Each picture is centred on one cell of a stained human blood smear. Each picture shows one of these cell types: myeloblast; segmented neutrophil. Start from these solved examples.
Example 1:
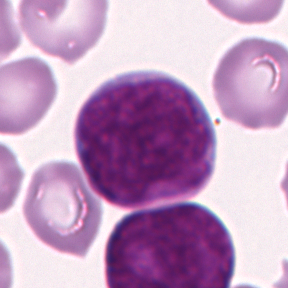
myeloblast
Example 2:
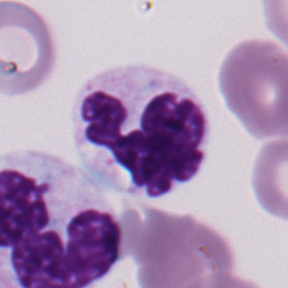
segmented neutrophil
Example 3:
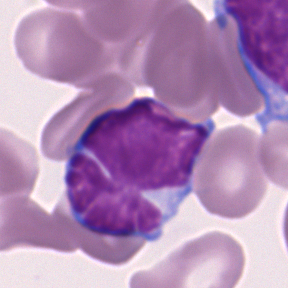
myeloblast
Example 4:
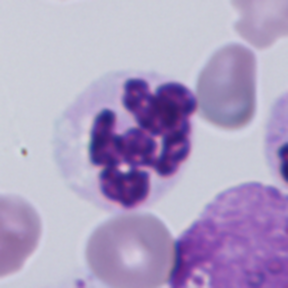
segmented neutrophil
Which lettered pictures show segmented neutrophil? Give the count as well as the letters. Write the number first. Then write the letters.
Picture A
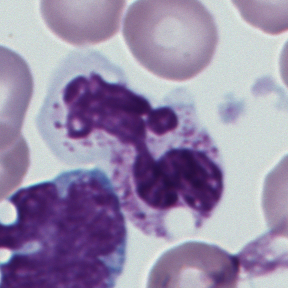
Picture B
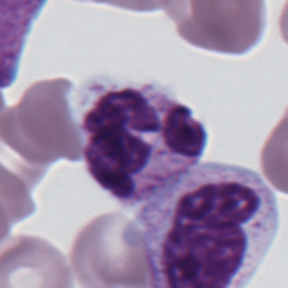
2, namely A, B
